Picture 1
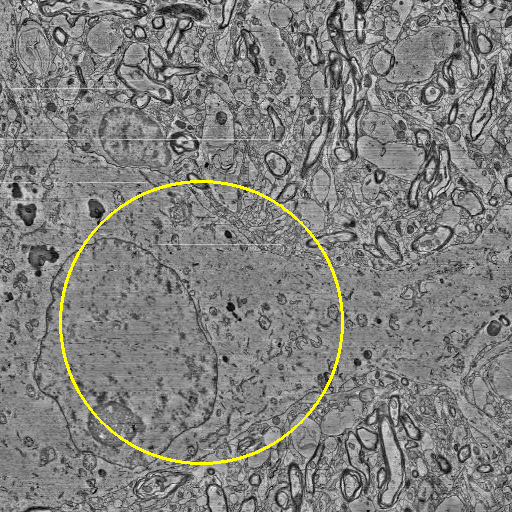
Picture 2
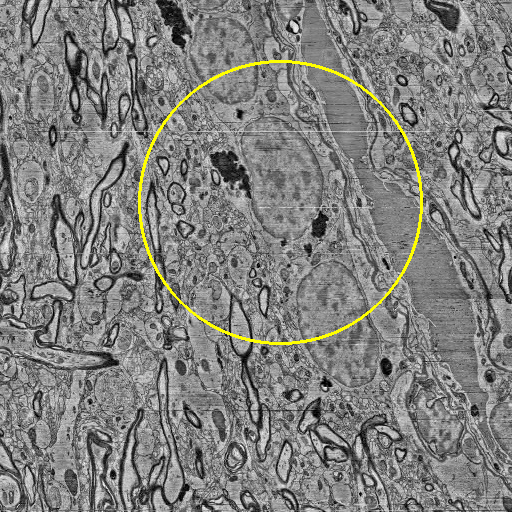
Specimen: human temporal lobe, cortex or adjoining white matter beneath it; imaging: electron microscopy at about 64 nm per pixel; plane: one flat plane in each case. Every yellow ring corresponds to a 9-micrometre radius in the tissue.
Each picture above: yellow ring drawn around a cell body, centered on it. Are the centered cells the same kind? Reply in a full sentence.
No, the two cells are two kinds of cell.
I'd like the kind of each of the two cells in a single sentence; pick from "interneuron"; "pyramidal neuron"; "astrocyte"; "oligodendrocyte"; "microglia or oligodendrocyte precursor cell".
The first ring marks a pyramidal neuron, and the second ring marks an oligodendrocyte.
